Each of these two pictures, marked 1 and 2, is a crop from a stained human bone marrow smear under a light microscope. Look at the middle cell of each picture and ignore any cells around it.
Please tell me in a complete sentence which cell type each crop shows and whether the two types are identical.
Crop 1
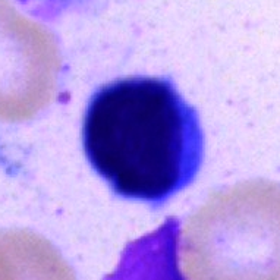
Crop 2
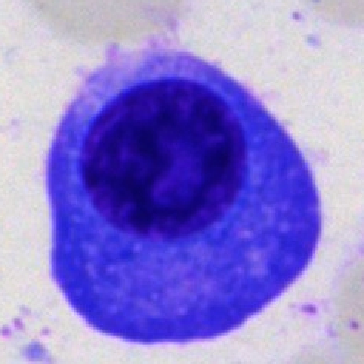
No, a lymphocyte is in crop 1, while a plasma cell is in crop 2.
